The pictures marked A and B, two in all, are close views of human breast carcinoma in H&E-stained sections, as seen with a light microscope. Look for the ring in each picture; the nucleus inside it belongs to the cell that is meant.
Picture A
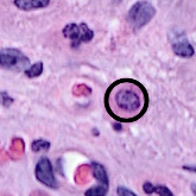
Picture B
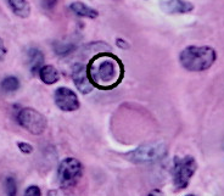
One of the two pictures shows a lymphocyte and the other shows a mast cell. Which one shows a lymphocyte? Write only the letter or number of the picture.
B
